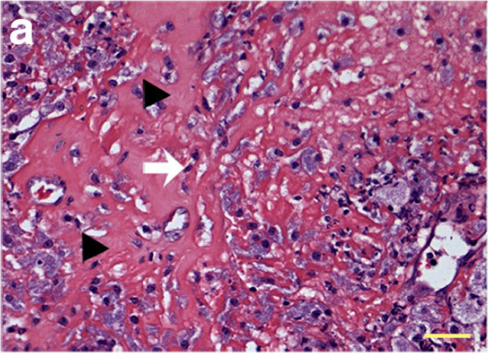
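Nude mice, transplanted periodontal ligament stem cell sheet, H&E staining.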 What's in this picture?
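Some cells lie in small spaces within the pink matrix, and cells line its margins. Around the matrix the cells are crowded, with some larger pale cells containing granular purple cytoplasm.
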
